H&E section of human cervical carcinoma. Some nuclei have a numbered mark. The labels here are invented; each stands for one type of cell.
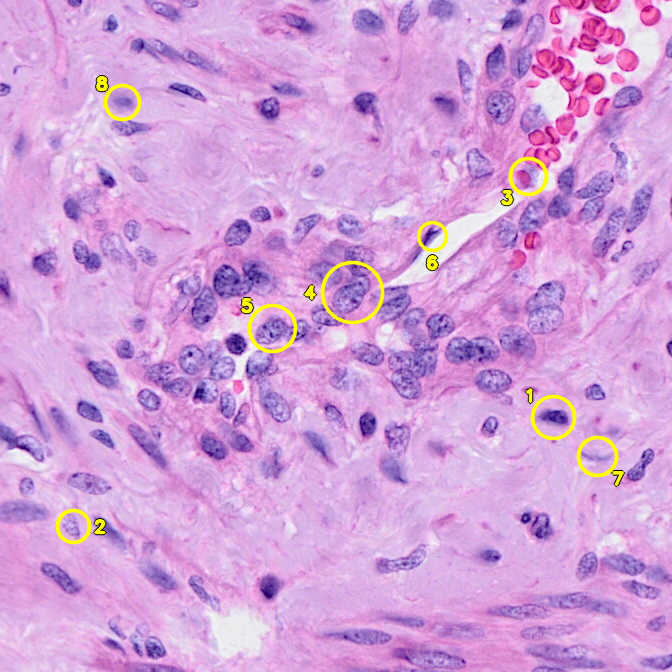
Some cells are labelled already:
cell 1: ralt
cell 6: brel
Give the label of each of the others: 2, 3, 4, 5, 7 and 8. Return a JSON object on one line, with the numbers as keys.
{"2": "ralt", "3": "brel", "4": "brel", "5": "brel", "7": "ralt", "8": "ralt"}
